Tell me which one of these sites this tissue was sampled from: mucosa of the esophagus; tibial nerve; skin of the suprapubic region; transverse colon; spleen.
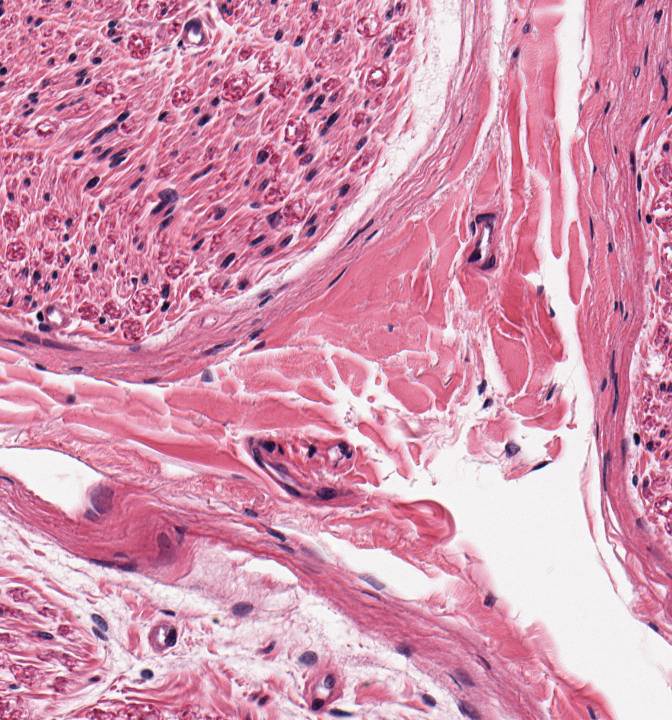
tibial nerve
